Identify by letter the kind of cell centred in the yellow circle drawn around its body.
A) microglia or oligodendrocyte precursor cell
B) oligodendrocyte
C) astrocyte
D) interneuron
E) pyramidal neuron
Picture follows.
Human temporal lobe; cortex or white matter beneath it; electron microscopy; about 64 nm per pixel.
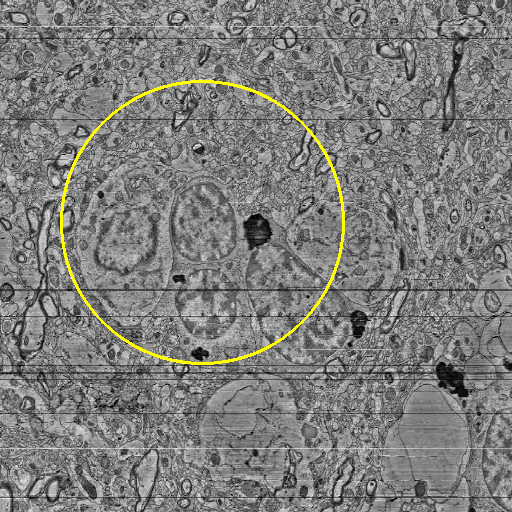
B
